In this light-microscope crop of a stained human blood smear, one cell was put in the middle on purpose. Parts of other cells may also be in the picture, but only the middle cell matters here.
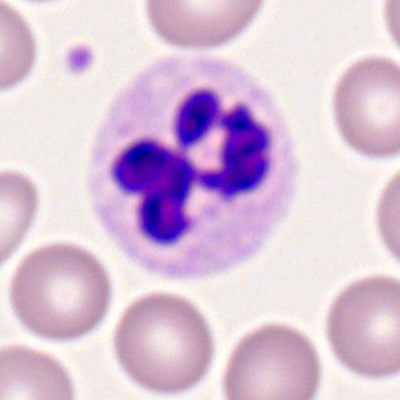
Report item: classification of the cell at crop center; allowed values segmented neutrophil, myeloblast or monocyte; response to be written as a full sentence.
At the center of the crop sits a segmented neutrophil.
